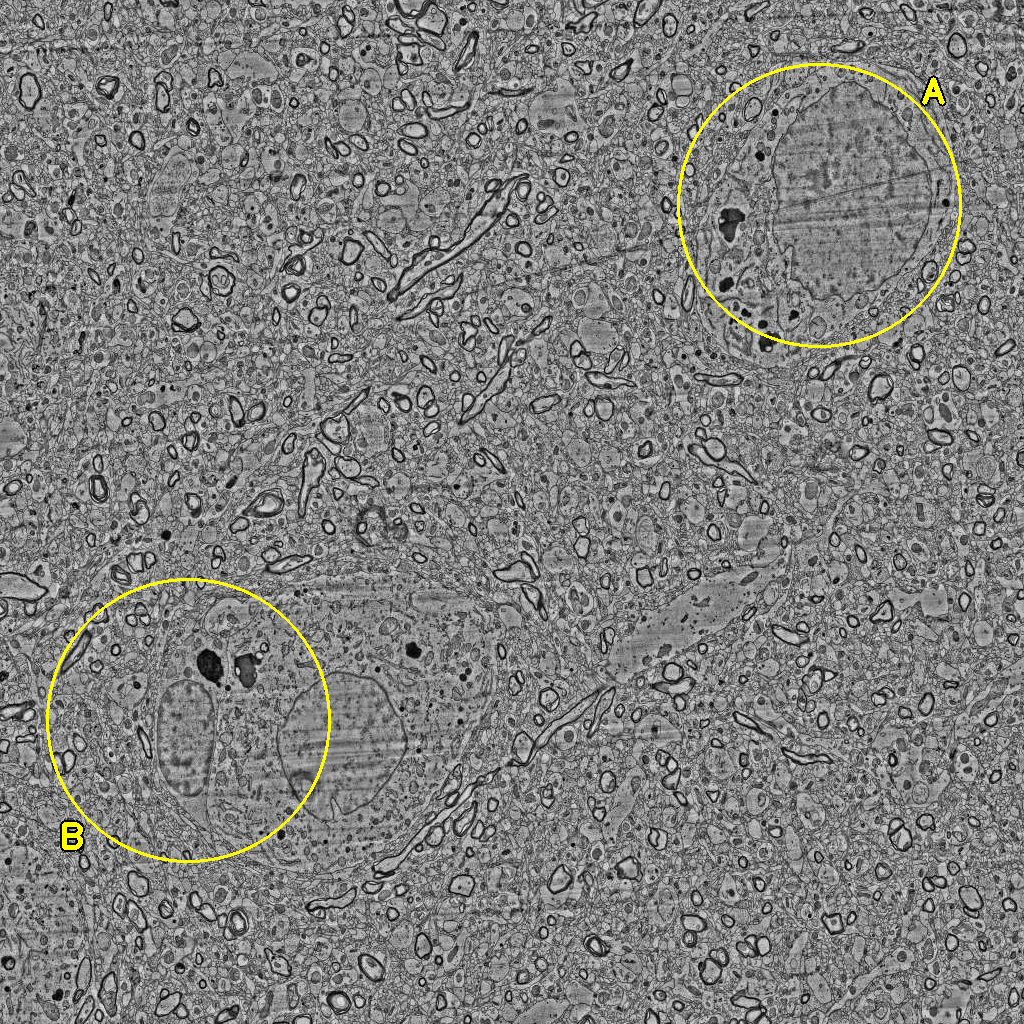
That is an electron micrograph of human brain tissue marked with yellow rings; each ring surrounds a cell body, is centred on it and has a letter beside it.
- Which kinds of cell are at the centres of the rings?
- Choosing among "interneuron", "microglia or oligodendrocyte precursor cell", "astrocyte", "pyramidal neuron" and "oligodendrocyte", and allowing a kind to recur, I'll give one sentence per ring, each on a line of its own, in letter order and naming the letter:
Ring A sits around an interneuron.
Ring B sits around an oligodendrocyte.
